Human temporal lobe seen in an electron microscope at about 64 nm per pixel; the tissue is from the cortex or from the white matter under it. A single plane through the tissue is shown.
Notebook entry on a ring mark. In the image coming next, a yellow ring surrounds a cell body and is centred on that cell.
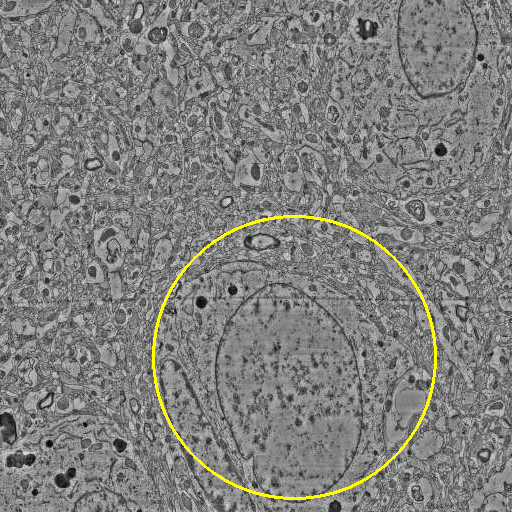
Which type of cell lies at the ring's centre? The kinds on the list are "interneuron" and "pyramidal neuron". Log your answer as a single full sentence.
Centred in the yellow ring is a pyramidal neuron, the cell recorded for this image.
